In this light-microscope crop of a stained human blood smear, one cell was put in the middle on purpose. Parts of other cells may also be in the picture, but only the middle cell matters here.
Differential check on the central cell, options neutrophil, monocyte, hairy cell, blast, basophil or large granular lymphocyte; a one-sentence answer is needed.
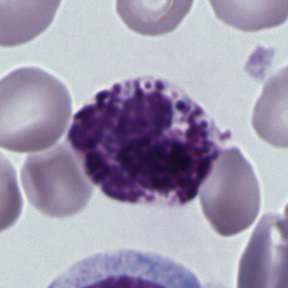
The cell found in the middle of this crop is a basophil.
